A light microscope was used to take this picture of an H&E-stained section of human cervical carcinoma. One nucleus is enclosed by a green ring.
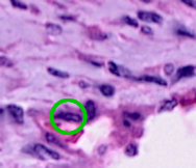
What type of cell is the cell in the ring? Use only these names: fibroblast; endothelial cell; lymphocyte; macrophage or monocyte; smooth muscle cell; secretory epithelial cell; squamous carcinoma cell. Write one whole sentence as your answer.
Students should answer that the cell in the ring is an endothelial cell.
